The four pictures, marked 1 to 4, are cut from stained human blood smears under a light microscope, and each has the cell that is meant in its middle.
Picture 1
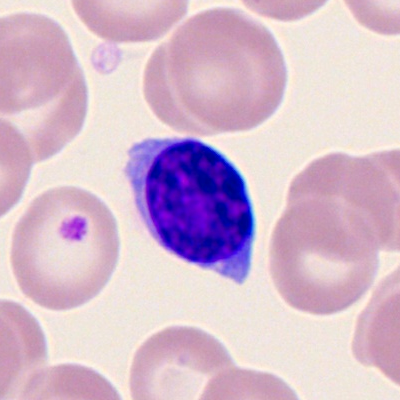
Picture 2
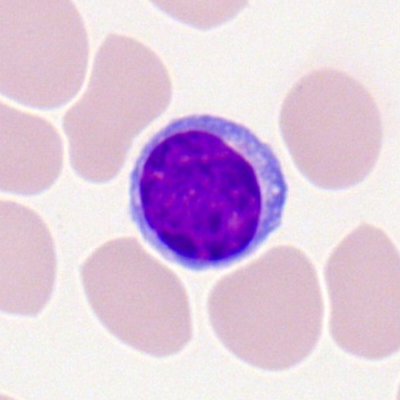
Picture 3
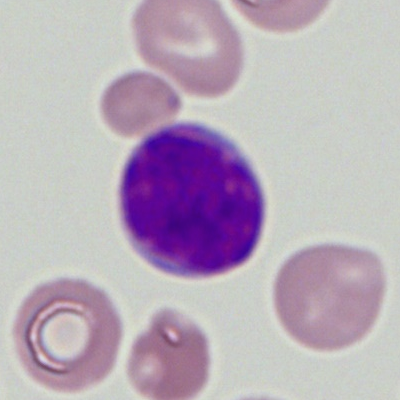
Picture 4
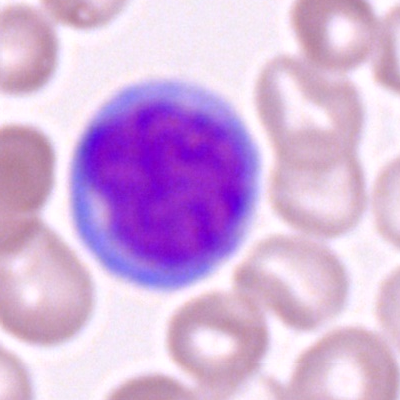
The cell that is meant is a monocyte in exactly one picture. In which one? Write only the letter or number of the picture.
4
